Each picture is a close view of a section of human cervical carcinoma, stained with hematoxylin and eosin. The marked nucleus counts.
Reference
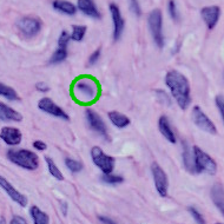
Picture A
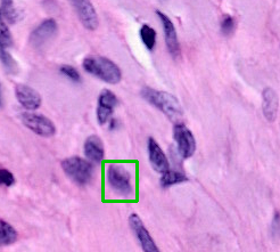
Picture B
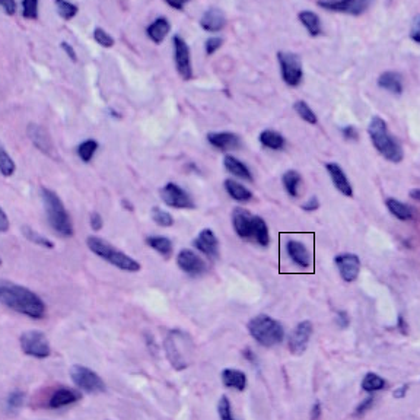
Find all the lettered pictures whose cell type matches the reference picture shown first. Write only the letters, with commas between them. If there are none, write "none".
A, B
